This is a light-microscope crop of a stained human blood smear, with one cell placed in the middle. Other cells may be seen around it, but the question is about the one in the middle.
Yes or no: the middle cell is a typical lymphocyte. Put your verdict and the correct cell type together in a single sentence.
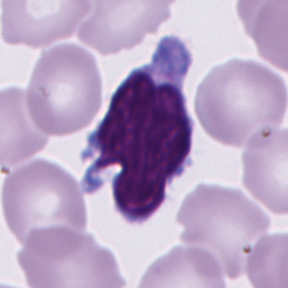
Yes, what sits in the centre of the crop is a typical lymphocyte.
